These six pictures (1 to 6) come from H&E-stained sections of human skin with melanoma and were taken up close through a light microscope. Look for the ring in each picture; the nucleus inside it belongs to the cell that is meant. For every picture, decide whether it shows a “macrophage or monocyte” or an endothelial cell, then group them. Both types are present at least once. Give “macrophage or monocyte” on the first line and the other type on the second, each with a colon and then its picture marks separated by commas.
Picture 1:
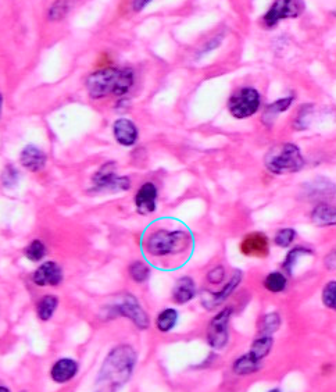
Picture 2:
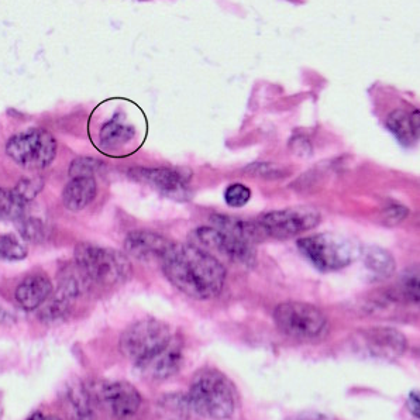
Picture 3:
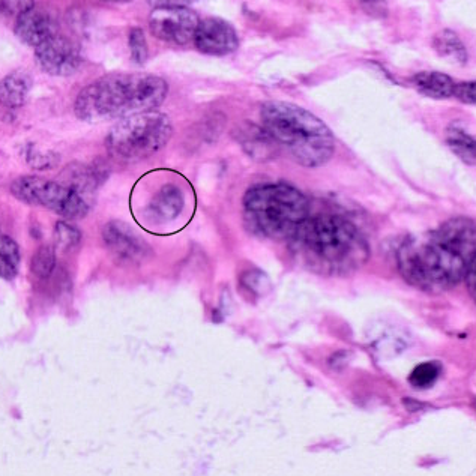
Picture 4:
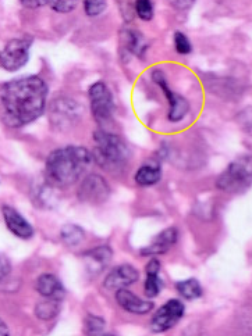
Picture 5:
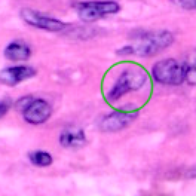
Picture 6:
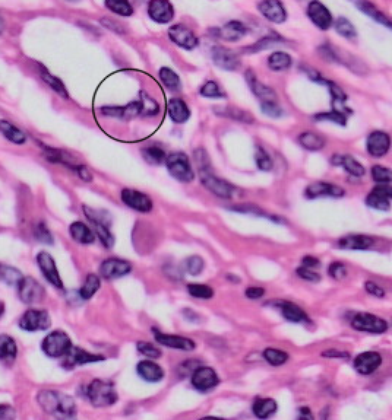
macrophage or monocyte: 1, 2, 4
endothelial cell: 3, 5, 6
